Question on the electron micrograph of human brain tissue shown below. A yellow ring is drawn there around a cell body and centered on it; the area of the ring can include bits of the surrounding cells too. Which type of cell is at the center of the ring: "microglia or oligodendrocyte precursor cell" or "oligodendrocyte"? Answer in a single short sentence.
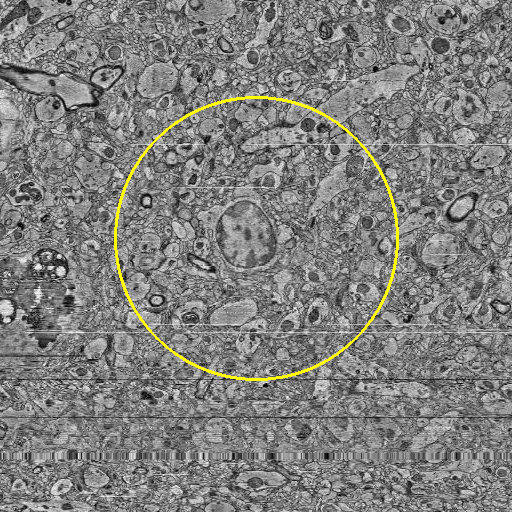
The ring is centered on a microglial cell or oligodendrocyte precursor cell.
